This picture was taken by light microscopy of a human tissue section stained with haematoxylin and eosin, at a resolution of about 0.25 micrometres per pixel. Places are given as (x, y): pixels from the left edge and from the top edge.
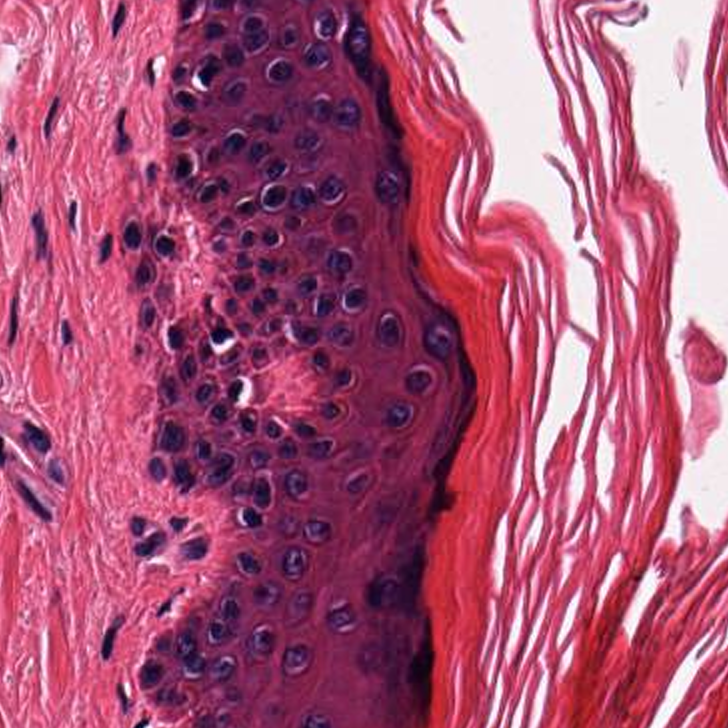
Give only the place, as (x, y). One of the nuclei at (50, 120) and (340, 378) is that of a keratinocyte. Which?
(340, 378)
